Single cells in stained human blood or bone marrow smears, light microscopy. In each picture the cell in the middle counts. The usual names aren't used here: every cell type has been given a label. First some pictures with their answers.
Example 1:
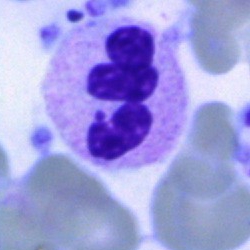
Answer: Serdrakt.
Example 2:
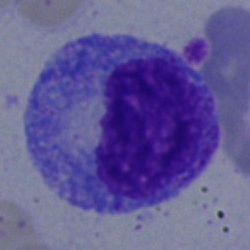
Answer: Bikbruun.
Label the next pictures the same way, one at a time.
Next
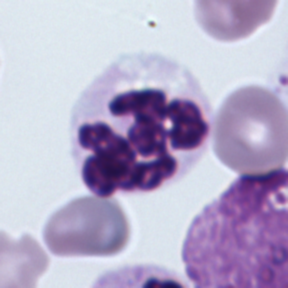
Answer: Serdrakt.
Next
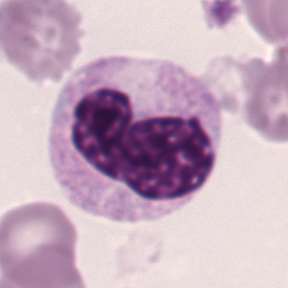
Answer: Serdrakt.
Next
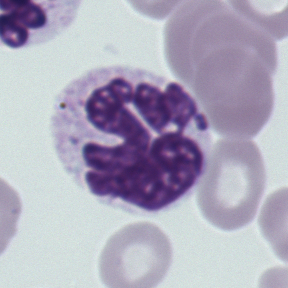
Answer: Serdrakt.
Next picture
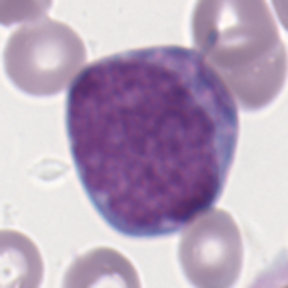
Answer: Bikbruun.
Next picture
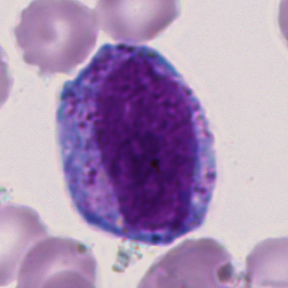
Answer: Bikbruun.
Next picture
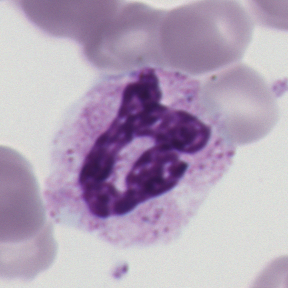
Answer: Serdrakt.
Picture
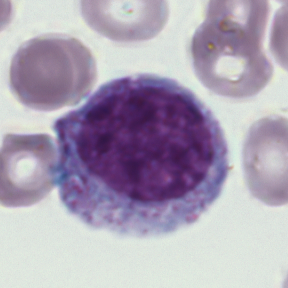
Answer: Bikbruun.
